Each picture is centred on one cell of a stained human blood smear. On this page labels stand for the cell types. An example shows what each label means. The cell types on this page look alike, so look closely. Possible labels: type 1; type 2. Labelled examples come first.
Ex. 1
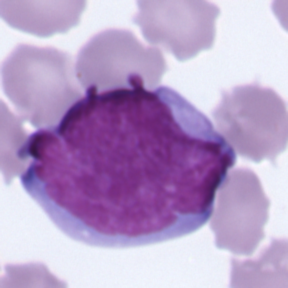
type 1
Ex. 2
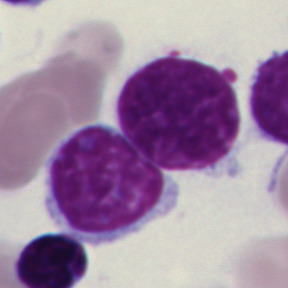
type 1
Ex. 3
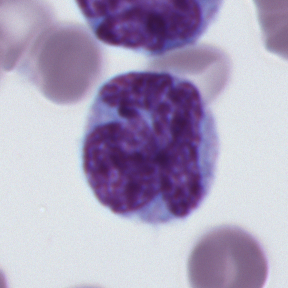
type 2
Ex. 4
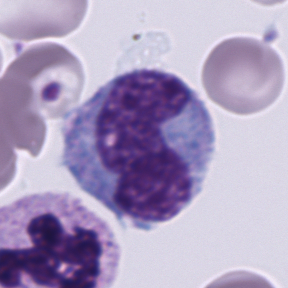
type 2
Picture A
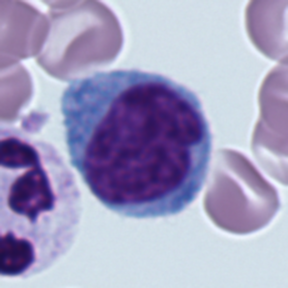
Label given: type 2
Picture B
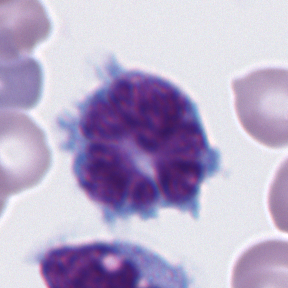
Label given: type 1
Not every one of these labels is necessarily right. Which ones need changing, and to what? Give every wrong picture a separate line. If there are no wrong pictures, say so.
B: change type 1 to type 2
